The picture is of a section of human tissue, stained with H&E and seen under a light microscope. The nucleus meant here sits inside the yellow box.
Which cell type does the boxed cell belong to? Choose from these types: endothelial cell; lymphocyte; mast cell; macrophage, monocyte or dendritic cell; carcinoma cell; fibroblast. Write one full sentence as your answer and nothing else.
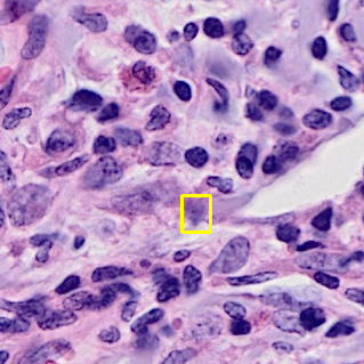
At the level of cell identity, the boxed cell is a macrophage, monocyte or dendritic cell.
